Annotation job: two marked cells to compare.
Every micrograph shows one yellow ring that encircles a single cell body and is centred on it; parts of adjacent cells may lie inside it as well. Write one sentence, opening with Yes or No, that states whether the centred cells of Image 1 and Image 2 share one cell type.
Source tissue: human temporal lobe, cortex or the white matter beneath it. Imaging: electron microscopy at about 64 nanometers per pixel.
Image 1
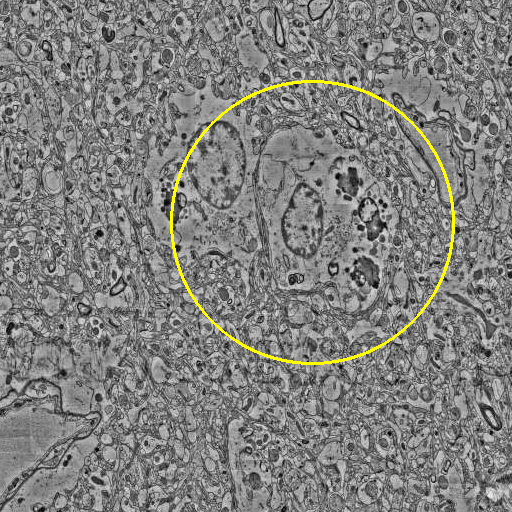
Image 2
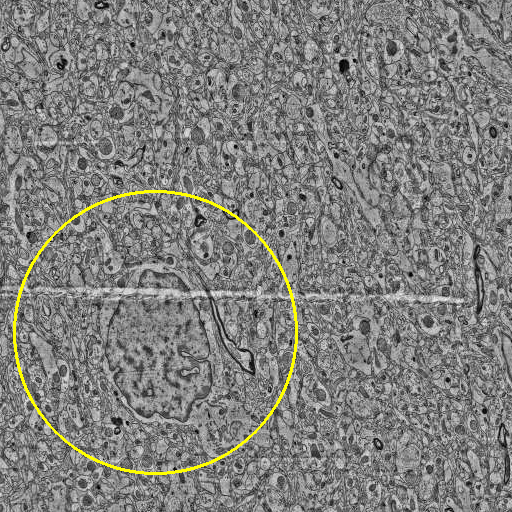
No, the cell centred in Image 1 and the cell centred in Image 2 are of two types.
